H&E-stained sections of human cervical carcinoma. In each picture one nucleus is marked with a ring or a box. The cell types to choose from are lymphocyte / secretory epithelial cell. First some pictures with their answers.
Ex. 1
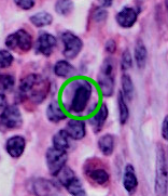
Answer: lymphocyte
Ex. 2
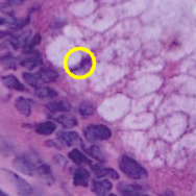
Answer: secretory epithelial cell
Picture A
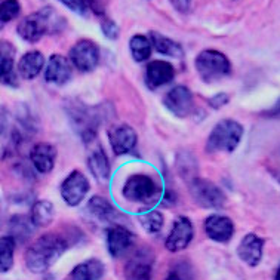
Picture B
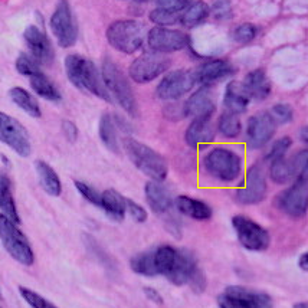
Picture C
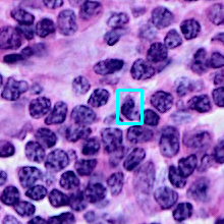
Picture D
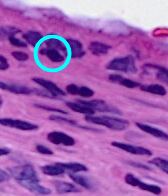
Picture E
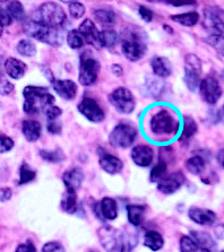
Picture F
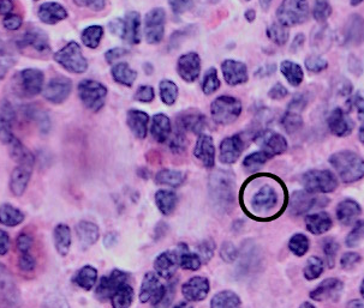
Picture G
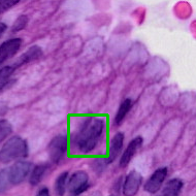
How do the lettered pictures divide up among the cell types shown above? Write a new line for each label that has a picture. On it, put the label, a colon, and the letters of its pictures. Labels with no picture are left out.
lymphocyte: A, C, E, F
secretory epithelial cell: B, D, G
